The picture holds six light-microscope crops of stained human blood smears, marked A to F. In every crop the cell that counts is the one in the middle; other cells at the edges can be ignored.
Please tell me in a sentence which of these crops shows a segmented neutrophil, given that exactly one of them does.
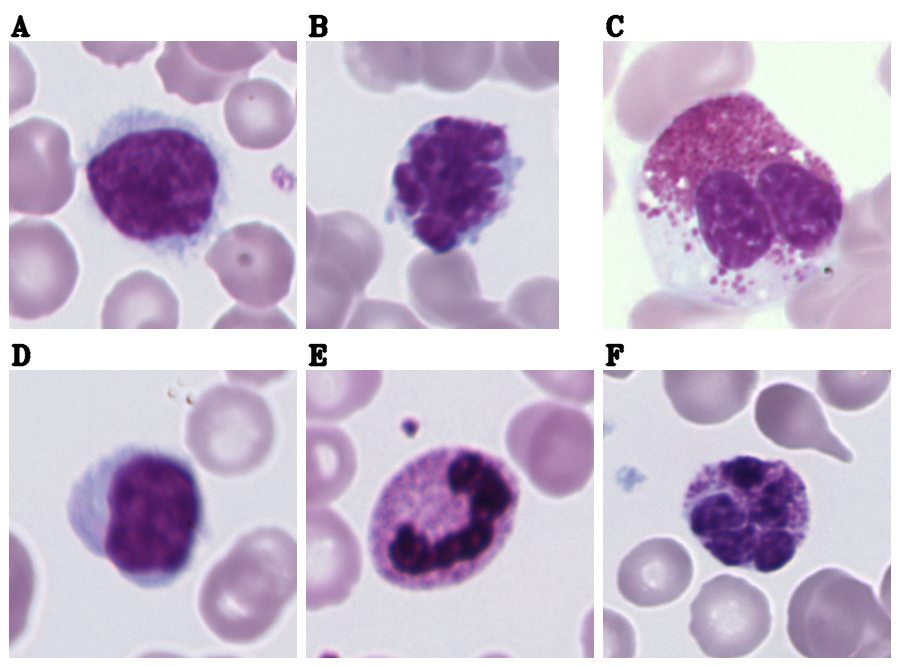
Of the labeled crops, the one with a segmented neutrophil is crop E.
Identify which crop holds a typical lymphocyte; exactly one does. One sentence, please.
Selected crop: D, which is the one that shows a typical lymphocyte.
